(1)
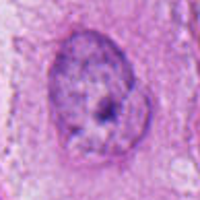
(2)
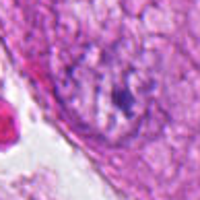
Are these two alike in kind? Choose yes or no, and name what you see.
Yes. Maternal decidual cells.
